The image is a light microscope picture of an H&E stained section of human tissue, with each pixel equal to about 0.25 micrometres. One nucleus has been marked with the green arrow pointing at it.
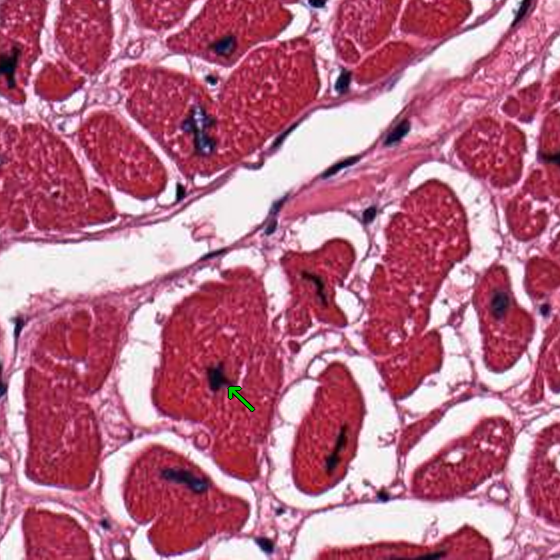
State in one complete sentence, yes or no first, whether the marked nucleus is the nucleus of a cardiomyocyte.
Yes, it is a cardiomyocyte to which the marked nucleus belongs.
